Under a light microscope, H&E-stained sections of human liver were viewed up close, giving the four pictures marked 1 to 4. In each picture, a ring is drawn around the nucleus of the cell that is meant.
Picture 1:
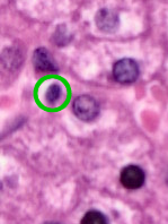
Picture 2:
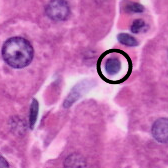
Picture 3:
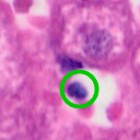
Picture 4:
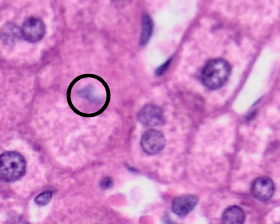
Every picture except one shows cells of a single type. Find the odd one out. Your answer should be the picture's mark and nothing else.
4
